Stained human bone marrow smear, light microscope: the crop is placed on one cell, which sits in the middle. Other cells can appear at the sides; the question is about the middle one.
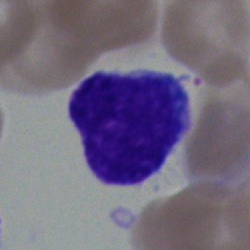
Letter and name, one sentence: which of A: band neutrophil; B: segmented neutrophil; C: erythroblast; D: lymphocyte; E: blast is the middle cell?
The middle cell of the crop is a blast; accordingly, option E is correct.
